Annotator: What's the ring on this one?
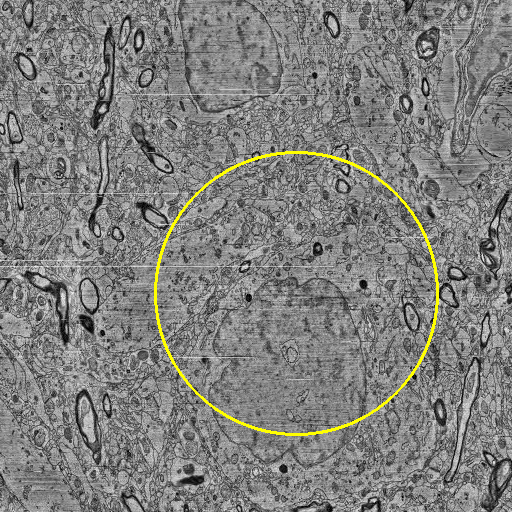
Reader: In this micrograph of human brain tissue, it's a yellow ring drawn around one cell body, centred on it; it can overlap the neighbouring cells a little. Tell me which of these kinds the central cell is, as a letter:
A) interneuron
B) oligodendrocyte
A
